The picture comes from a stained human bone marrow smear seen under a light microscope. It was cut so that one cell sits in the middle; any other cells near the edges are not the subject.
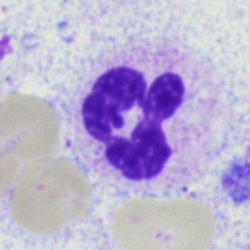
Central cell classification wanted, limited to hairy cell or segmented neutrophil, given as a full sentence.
Classification of the middle cell gives a segmented neutrophil.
